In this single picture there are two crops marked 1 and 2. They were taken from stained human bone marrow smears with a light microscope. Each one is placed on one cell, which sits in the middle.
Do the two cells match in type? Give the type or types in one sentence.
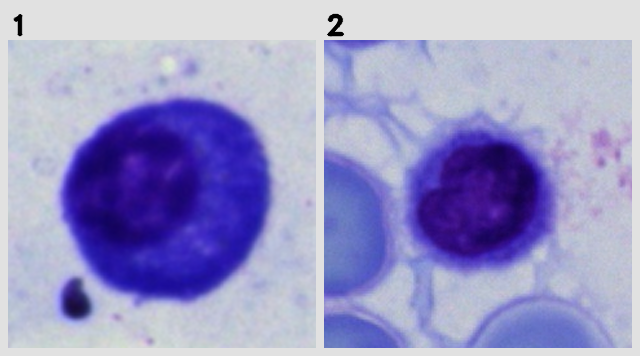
No, that is not right; crop 1 shows a plasma cell and crop 2 shows a hairy cell.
